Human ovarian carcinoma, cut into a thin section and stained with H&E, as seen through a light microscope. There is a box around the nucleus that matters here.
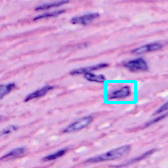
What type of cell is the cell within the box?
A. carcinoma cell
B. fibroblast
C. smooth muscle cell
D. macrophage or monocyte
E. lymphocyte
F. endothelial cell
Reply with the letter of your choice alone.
B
